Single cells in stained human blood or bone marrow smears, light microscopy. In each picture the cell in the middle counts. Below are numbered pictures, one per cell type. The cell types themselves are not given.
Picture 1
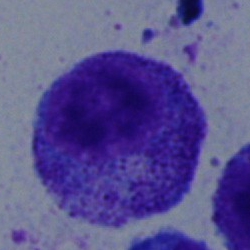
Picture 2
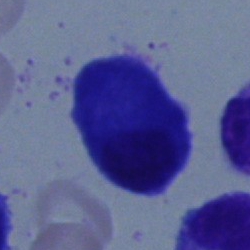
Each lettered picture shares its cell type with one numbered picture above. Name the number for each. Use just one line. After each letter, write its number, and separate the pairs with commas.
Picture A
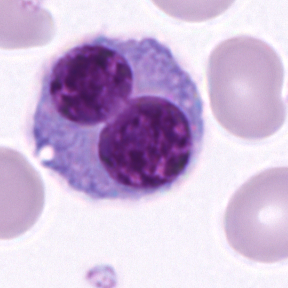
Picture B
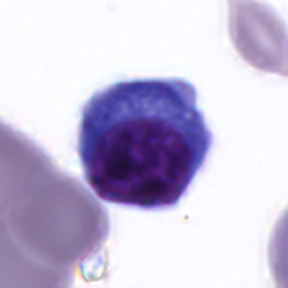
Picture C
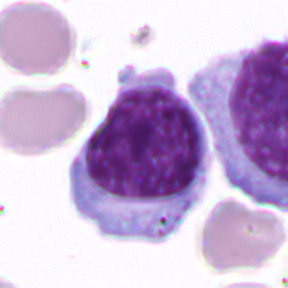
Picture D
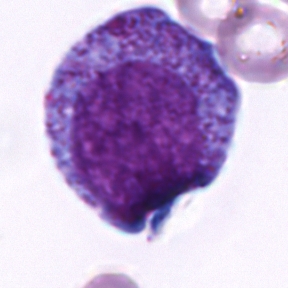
A 2, B 2, C 2, D 1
